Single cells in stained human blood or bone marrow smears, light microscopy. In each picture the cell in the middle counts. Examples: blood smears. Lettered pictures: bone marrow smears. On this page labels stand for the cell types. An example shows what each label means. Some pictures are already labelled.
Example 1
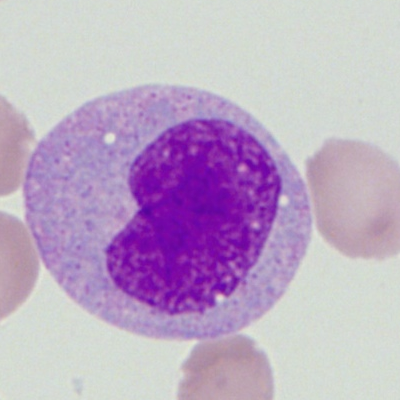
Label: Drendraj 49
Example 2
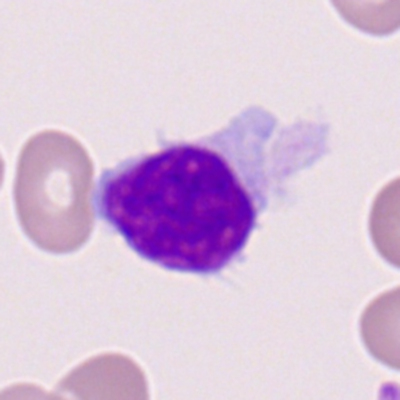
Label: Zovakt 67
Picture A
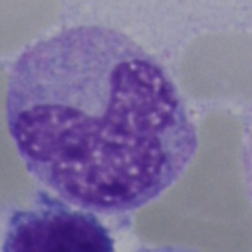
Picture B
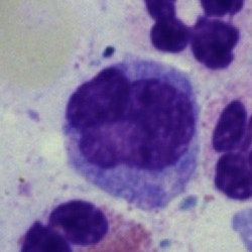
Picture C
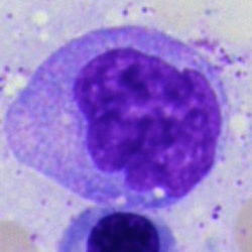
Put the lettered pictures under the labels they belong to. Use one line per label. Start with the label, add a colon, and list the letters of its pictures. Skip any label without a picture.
Drendraj 49: A, B, C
